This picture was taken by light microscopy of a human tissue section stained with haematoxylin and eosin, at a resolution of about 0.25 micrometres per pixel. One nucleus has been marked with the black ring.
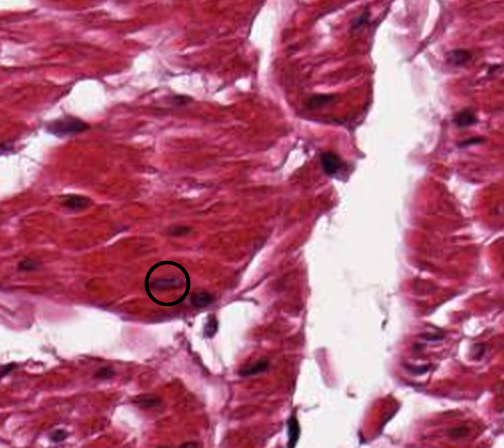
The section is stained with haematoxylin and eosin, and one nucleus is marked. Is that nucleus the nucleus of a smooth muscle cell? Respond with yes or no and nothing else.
yes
